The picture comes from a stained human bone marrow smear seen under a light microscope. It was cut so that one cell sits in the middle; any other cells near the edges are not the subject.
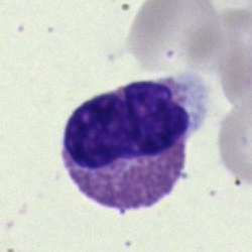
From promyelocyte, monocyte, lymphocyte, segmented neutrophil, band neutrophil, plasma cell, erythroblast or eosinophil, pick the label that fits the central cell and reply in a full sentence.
At the middle of the frame sits an eosinophil.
